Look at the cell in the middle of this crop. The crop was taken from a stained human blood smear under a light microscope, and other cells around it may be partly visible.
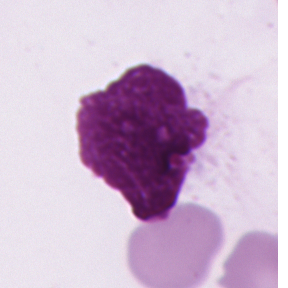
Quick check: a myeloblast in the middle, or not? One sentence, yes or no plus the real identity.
No, the cell in the centre is a smudge cell instead of a myeloblast.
